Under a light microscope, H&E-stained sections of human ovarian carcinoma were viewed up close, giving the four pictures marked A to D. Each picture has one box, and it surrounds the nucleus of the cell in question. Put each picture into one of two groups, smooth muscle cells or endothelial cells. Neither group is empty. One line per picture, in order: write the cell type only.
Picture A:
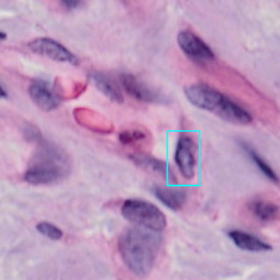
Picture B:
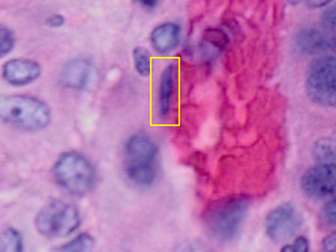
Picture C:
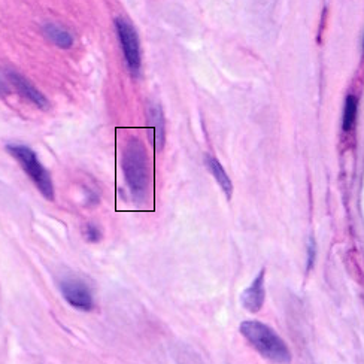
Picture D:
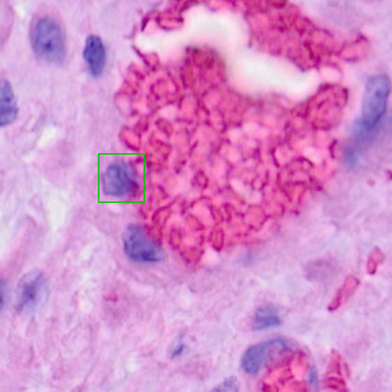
endothelial cell
endothelial cell
smooth muscle cell
endothelial cell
